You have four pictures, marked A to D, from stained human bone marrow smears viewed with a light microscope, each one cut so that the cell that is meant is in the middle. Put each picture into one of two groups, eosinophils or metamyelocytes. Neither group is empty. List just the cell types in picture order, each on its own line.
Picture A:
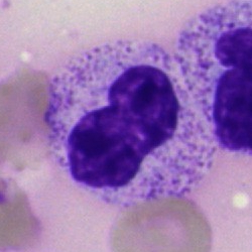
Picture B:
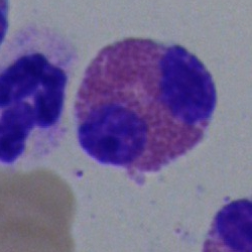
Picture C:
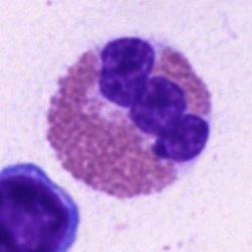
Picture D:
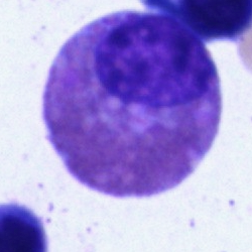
metamyelocyte
eosinophil
eosinophil
eosinophil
